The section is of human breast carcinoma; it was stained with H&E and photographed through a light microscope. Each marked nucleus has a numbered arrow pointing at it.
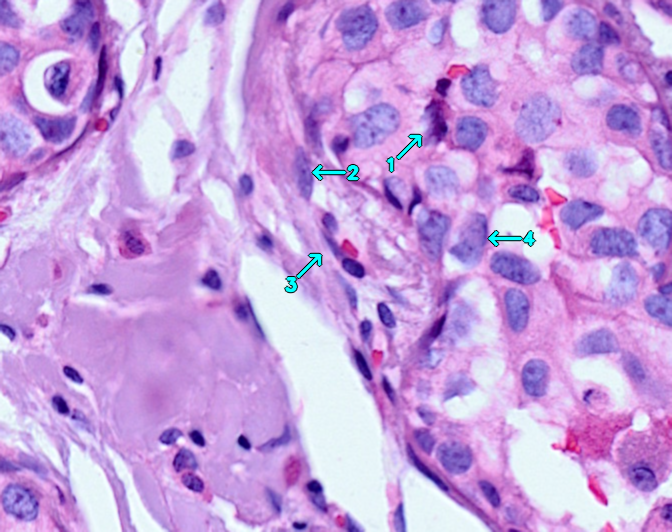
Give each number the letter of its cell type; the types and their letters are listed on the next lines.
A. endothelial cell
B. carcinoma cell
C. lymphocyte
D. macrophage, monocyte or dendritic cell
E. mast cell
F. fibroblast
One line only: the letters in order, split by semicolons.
B; F; A; B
